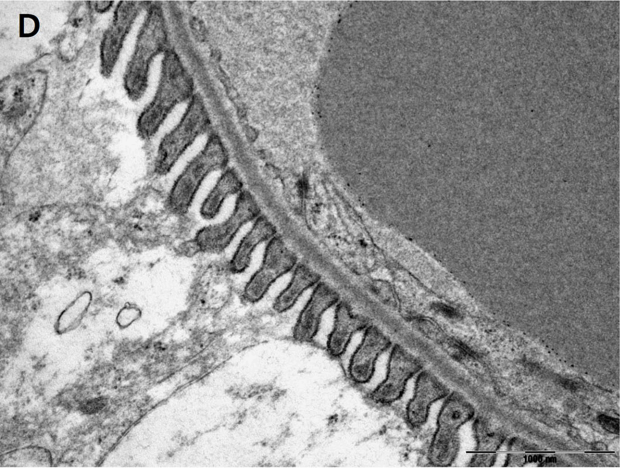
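Transmission electron micrograph of a glomerular capillary wall. A uniform dense basement membrane runs diagonally, carrying on its outer side a long palisade of slender, evenly spaced foot-like processes separated by narrow slits, and on its inner side a thin endothelial lining facing a capillary lumen filled by a red blood cell. Pale, loosely textured cytoplasm occupies the space beyond the processes.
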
